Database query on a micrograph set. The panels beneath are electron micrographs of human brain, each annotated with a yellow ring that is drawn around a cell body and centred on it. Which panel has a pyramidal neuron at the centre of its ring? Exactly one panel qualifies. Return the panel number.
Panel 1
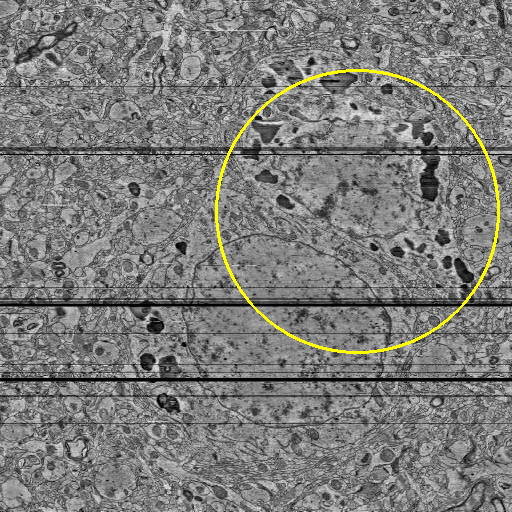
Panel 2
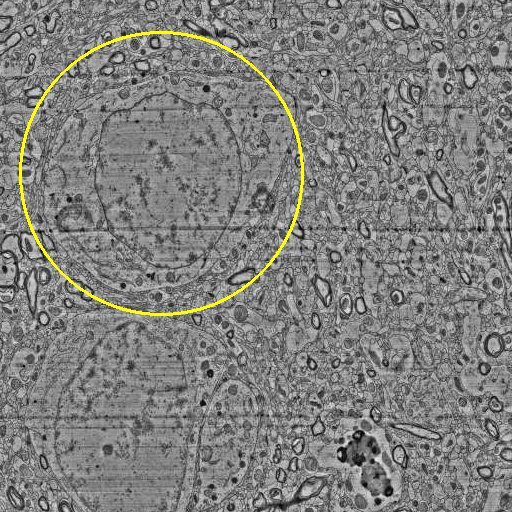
2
